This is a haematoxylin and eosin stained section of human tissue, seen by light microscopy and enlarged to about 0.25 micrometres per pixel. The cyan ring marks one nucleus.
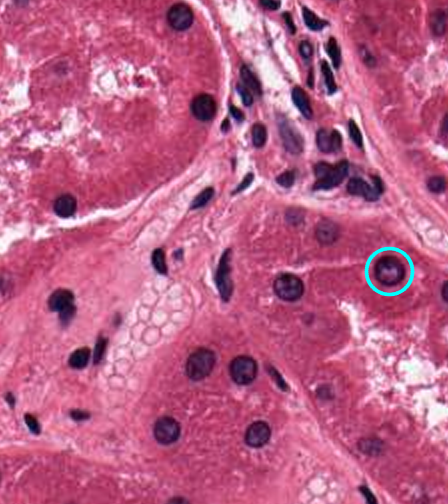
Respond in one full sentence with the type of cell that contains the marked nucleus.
The nucleus carrying the mark is the nucleus of a proximal tubule cell.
